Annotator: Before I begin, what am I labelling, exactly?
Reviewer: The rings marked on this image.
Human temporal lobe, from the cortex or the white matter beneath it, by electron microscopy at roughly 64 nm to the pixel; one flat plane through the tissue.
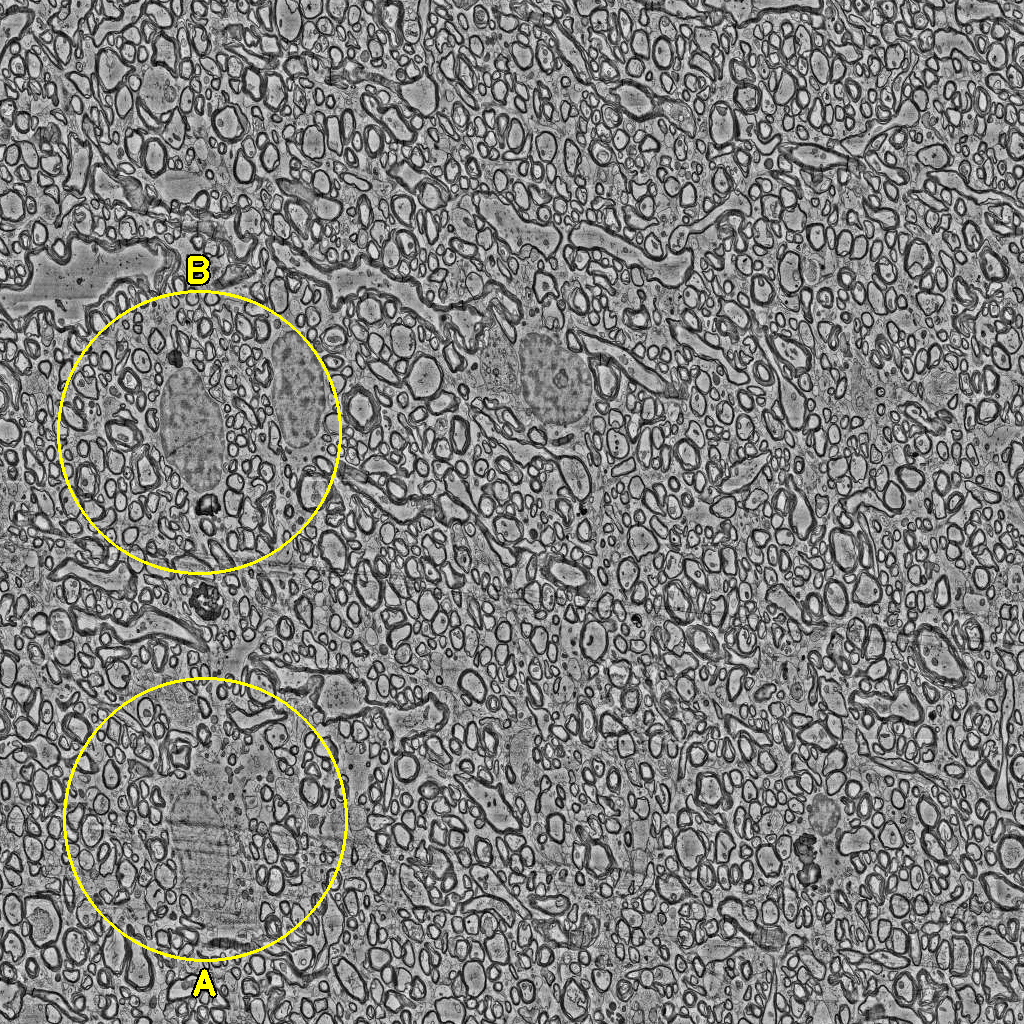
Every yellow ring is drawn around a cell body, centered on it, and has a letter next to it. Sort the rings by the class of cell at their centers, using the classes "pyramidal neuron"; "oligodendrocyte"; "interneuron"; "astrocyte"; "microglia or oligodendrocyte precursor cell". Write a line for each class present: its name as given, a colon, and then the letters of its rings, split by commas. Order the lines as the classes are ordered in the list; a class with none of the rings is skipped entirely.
oligodendrocyte: B
astrocyte: A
